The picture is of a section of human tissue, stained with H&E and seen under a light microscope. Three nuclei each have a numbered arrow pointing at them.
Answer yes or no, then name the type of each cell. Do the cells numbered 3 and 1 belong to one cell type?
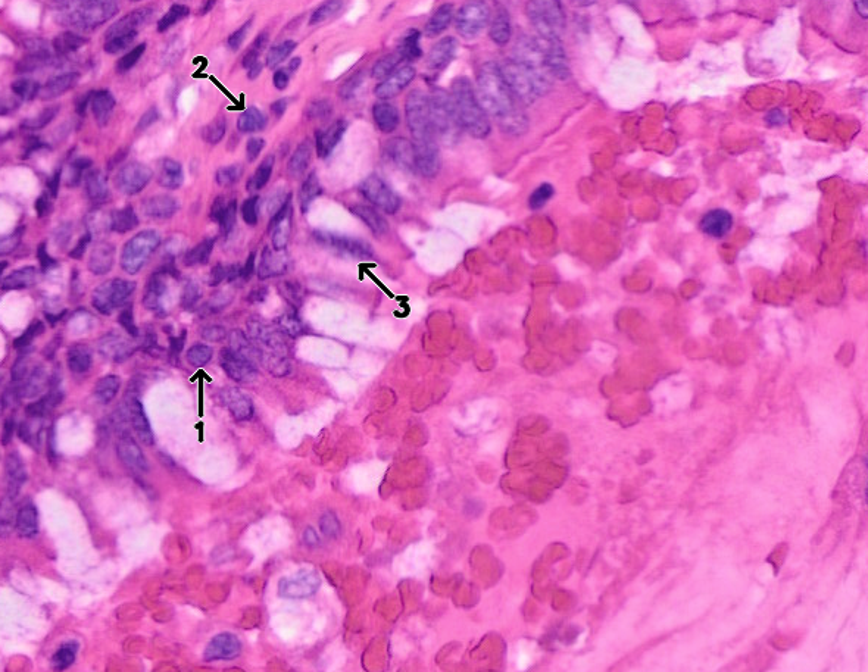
Yes, cells 3 and 1 both belong to the category of ciliated epithelial cells.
